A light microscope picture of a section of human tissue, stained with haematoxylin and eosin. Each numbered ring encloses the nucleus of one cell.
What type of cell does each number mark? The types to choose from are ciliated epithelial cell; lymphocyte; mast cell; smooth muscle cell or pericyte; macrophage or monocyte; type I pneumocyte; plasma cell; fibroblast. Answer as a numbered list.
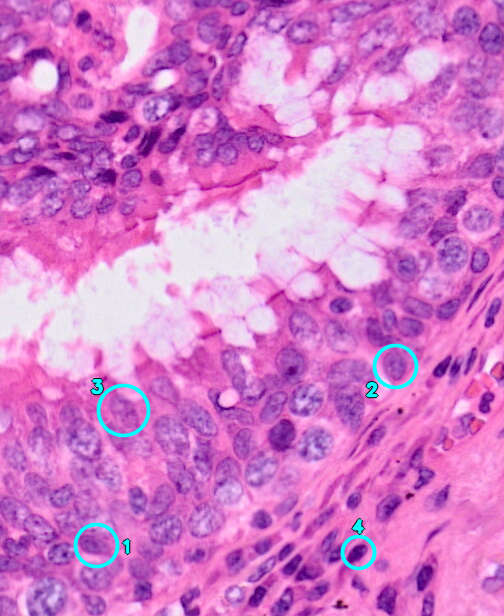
1. ciliated epithelial cell
2. ciliated epithelial cell
3. ciliated epithelial cell
4. plasma cell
